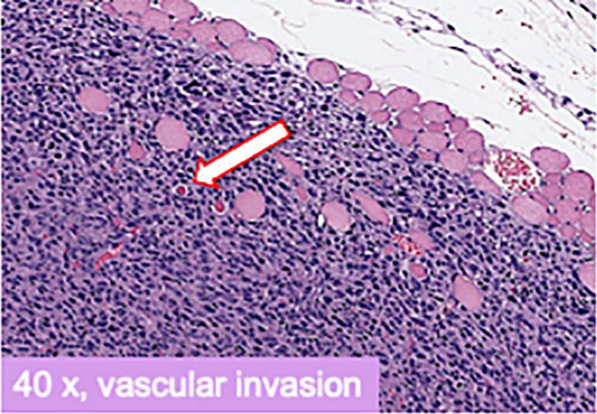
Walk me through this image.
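The tumor cells form a solid sheet with dark purple, oval to spindle-shaped nuclei and little cytoplasm. Along the upper edge, a row of pink, round muscle fibers is cut in cross section. Some muscle fibers lie isolated within the tumor. Small vascular spaces containing red blood cells are scattered in and near the tumor. Pale, empty-looking fat tissue lies above the muscle row.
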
